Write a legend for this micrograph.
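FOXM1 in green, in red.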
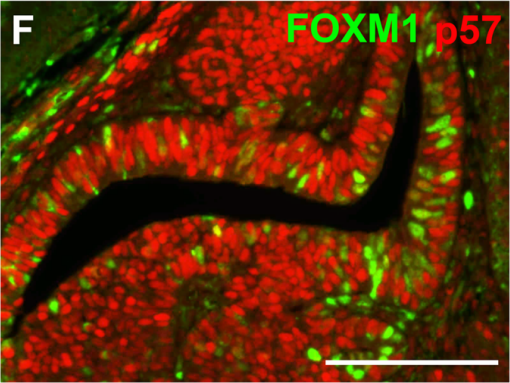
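A thick band of elongated nuclei lines the lumen, and most nuclei throughout the tissue are red. Green nuclei are scattered among them. The green ones are most frequent within the band lining the lumen and toward its right-hand bend and lower right. Green nuclei are mostly distinct from the red ones, with few appearing yellow. This suggests the two colours largely mark separate cells. Away from the lumen, rounder red nuclei dominate and green ones are sparse.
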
